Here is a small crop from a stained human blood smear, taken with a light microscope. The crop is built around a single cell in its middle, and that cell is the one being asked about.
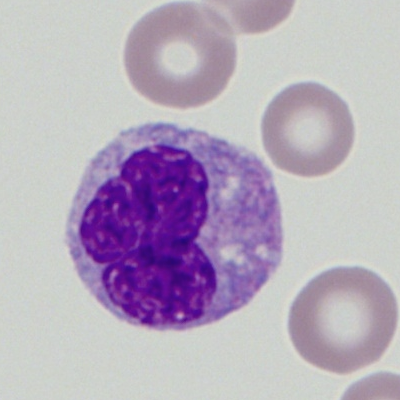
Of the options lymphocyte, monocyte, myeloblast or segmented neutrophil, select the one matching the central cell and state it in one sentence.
Regarding the central cell, it is a monocyte.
